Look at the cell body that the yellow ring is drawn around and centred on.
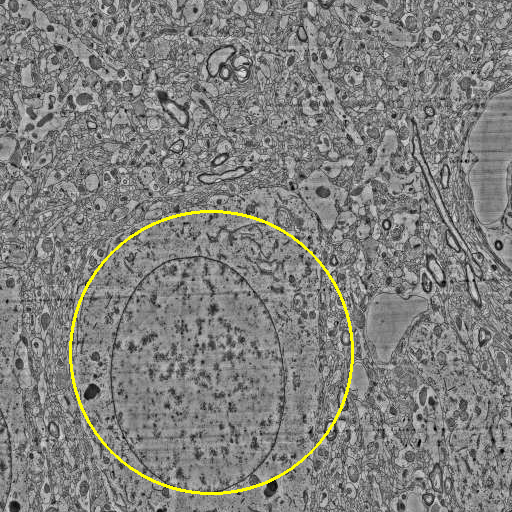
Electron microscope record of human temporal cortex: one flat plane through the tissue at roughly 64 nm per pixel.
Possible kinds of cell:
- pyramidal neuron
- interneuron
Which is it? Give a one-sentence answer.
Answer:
The centred cell body is that of a pyramidal neuron.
